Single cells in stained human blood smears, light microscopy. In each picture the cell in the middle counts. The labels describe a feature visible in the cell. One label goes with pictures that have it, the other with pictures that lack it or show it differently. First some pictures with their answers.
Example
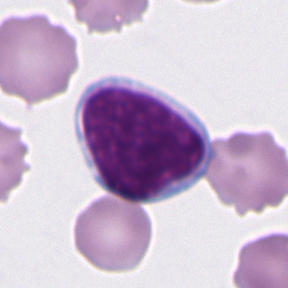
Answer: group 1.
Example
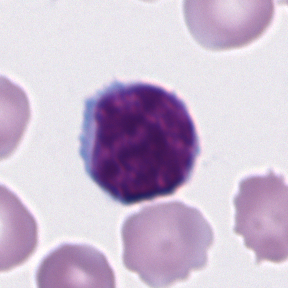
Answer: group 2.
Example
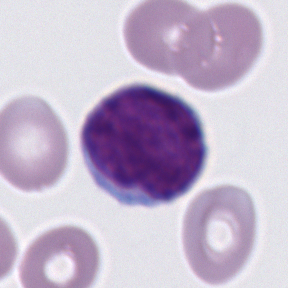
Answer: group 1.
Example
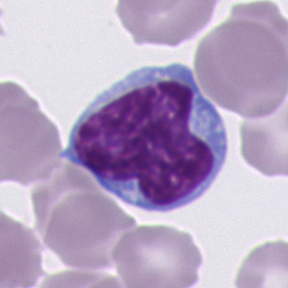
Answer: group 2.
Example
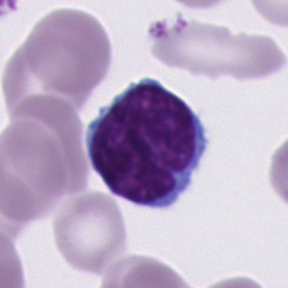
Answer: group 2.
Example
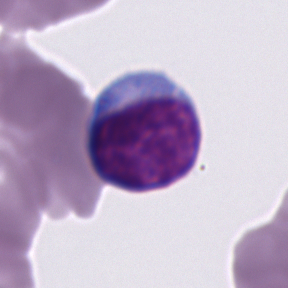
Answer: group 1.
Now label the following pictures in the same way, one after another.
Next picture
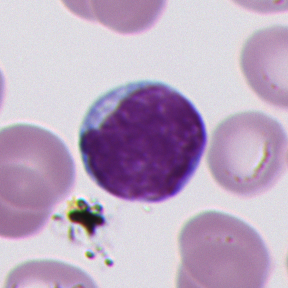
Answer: group 1.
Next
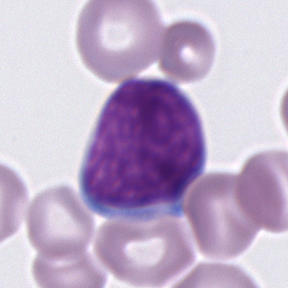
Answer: group 1.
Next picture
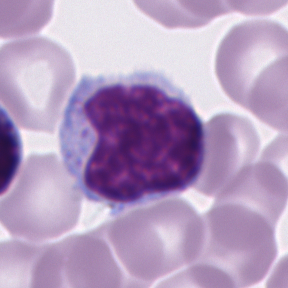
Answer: group 2.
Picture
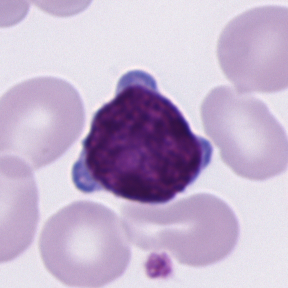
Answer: group 2.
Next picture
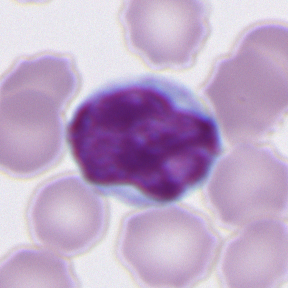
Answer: group 1.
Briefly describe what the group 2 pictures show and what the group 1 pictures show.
group 2, ragged outline or projections; group 1, smooth outline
